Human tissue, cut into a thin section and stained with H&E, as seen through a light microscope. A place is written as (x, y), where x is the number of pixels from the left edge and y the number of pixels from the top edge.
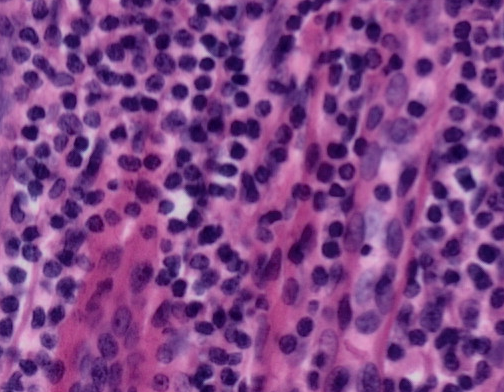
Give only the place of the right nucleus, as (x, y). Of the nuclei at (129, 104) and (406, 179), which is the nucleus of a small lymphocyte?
(129, 104)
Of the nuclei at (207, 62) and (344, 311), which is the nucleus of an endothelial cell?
(344, 311)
